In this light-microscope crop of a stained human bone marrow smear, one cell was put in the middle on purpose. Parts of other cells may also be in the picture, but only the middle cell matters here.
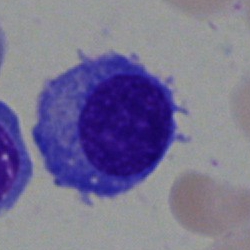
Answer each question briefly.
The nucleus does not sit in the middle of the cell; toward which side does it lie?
right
